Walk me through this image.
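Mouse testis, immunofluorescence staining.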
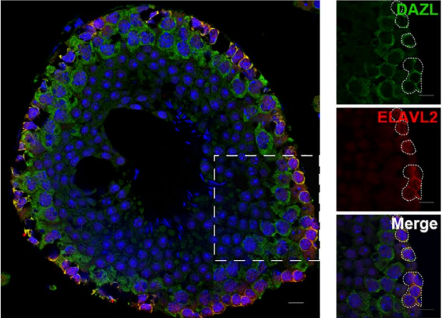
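The blue round nuclei are crowded tightly from the tubule wall inward. Green staining fills the cytoplasm between nuclei across many layers of the epithelium. Red to orange staining is confined to cells lying along the outer edge of the tubule, against its wall, where it overlaps with the green.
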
